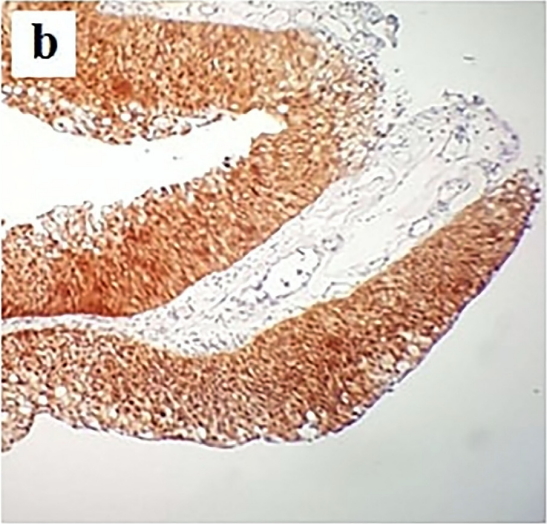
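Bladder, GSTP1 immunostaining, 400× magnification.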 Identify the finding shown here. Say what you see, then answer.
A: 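Noninvasive tumor cells. Thick, many-layered epithelium forms finger-like fronds. Each frond has a thin pale connective tissue core. The epithelium stays separate from the core, with no nests in the stroma.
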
